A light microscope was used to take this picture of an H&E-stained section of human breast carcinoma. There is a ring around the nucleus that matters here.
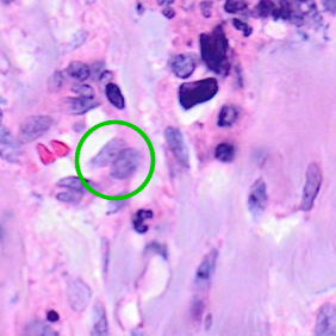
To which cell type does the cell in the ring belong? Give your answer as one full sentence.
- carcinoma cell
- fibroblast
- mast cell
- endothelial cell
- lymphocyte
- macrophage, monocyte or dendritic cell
Placed in its cell category, the cell in the ring is an endothelial cell.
